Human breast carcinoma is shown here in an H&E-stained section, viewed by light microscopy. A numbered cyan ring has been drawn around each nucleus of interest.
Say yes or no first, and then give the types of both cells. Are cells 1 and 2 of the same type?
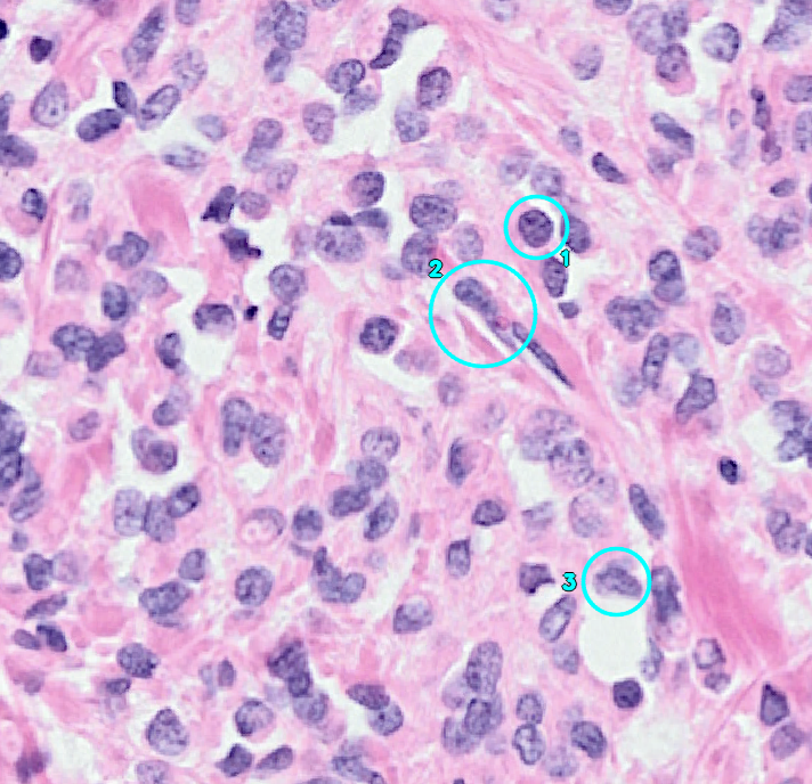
No, cell 1 is a carcinoma cell and cell 2 is an endothelial cell.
